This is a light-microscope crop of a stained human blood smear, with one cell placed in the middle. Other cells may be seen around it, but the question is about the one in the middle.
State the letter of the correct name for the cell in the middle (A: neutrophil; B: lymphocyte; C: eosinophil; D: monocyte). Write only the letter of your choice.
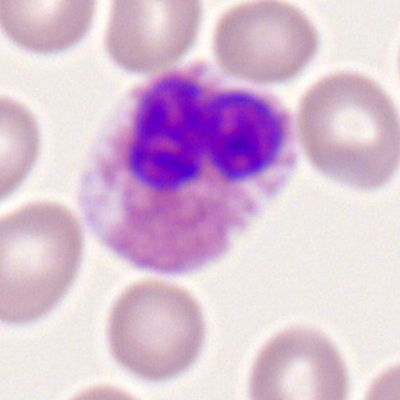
C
